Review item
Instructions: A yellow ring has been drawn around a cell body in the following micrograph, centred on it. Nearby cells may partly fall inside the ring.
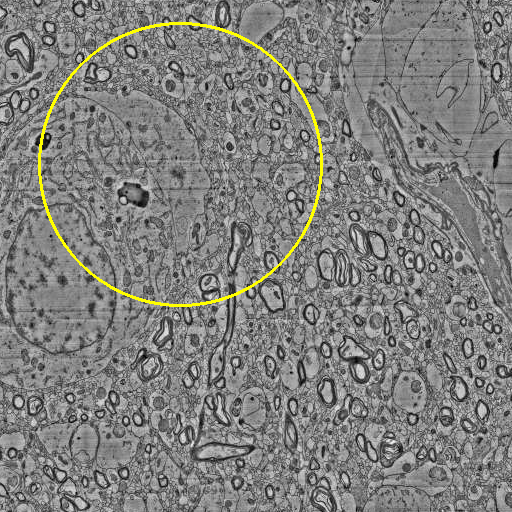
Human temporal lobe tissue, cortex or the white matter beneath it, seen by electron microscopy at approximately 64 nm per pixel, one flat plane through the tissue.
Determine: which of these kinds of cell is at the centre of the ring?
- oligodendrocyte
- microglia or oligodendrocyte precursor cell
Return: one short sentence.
The cell body in the middle of the ring is that of a microglial cell or oligodendrocyte precursor cell.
